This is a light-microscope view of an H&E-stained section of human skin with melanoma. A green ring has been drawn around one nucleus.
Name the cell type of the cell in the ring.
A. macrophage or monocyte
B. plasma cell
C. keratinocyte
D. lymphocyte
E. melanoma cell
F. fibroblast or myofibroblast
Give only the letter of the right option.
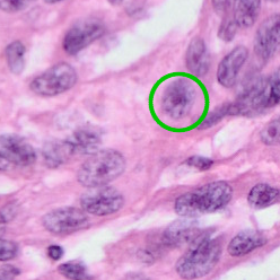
E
